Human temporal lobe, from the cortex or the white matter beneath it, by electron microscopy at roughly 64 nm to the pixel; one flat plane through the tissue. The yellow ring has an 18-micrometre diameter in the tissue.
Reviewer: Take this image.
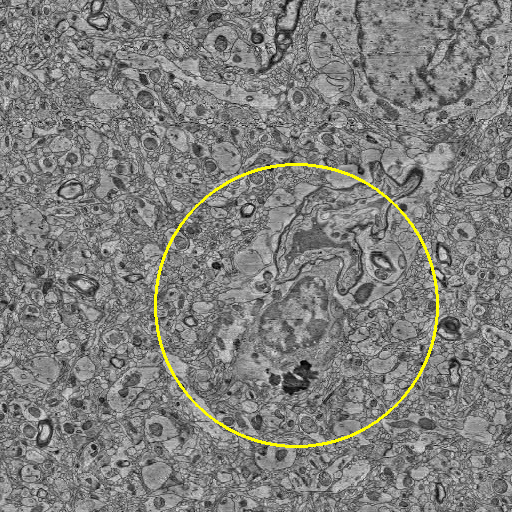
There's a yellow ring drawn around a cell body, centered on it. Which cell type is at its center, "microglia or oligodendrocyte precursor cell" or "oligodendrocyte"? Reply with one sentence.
At the center of the yellow ring is an oligodendrocyte.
